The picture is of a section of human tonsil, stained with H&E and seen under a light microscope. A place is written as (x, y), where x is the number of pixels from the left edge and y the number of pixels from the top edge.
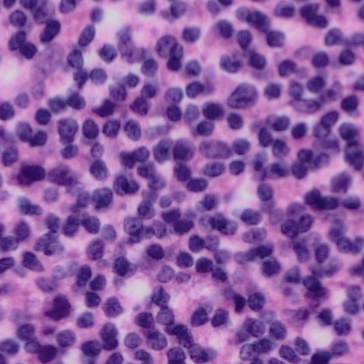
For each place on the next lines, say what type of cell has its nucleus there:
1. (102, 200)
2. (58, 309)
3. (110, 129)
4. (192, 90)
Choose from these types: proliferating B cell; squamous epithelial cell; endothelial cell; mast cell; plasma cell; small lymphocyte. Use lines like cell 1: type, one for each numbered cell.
cell 1: small lymphocyte
cell 2: proliferating B cell
cell 3: small lymphocyte
cell 4: small lymphocyte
